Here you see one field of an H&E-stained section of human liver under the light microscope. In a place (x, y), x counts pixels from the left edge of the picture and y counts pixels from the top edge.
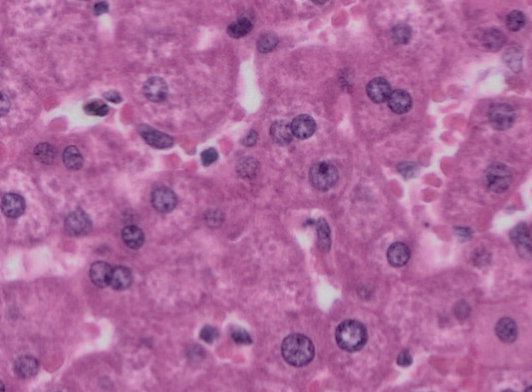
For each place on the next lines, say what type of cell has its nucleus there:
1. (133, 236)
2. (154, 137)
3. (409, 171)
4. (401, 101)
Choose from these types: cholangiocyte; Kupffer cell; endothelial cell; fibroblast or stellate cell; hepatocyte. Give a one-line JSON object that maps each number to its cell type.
{"1": "hepatocyte", "2": "Kupffer cell", "3": "Kupffer cell", "4": "hepatocyte"}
